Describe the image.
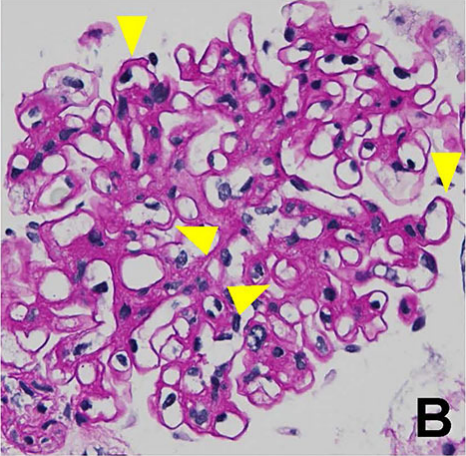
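This is a glomerulus whose capillary loops are lined by magenta-staining basement membranes, with dark blue nuclei of cells scattered among them. In several loops the wall appears split into two parallel magenta lines with a pale layer between, giving a double-contoured look. Most capillary lumens remain open as clear round spaces, and the mesangial areas in between are pink and somewhat expanded.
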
